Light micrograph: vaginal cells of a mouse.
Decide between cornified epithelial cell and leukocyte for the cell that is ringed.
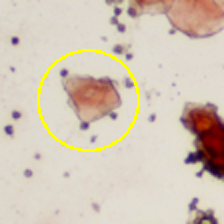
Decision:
I take the ringed cell for a cornified epithelial cell.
